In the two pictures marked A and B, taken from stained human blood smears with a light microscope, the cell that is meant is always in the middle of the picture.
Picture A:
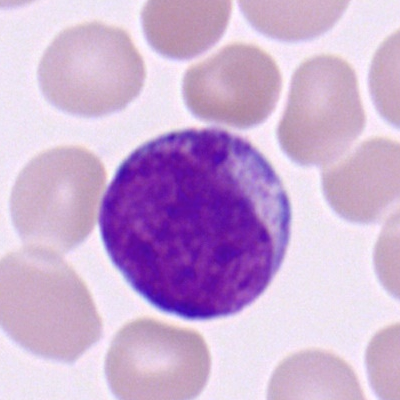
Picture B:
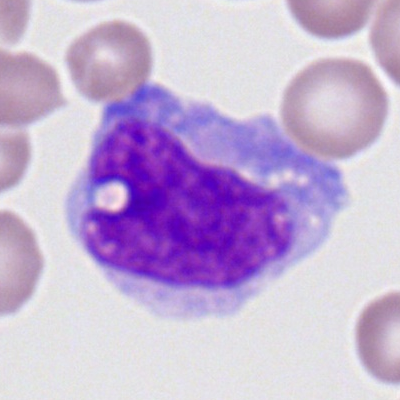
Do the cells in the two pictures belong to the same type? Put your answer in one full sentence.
No, they differ: the cell is a myeloblast in picture A and a monocyte in picture B.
